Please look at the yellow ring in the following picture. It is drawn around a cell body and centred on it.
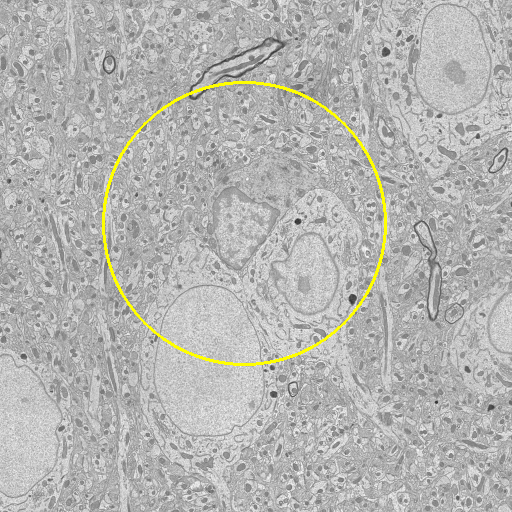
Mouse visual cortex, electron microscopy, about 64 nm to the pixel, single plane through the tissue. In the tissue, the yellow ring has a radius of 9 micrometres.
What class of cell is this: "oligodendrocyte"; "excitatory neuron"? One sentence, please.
The ring surrounds the cell body of an oligodendrocyte.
